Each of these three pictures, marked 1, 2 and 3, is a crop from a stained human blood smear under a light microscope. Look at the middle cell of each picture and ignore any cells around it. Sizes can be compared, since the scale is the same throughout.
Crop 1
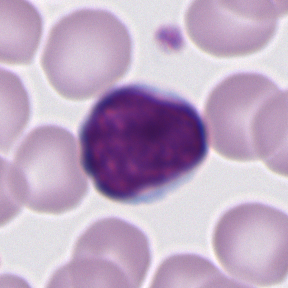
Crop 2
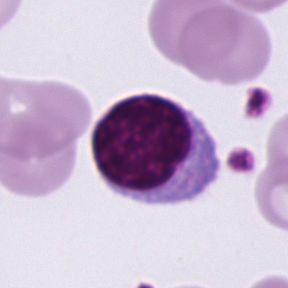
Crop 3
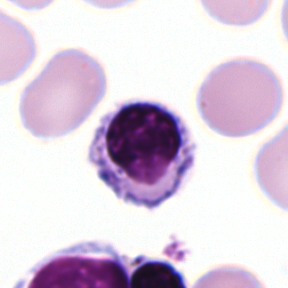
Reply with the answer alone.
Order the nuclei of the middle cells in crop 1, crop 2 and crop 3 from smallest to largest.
3, 2, 1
